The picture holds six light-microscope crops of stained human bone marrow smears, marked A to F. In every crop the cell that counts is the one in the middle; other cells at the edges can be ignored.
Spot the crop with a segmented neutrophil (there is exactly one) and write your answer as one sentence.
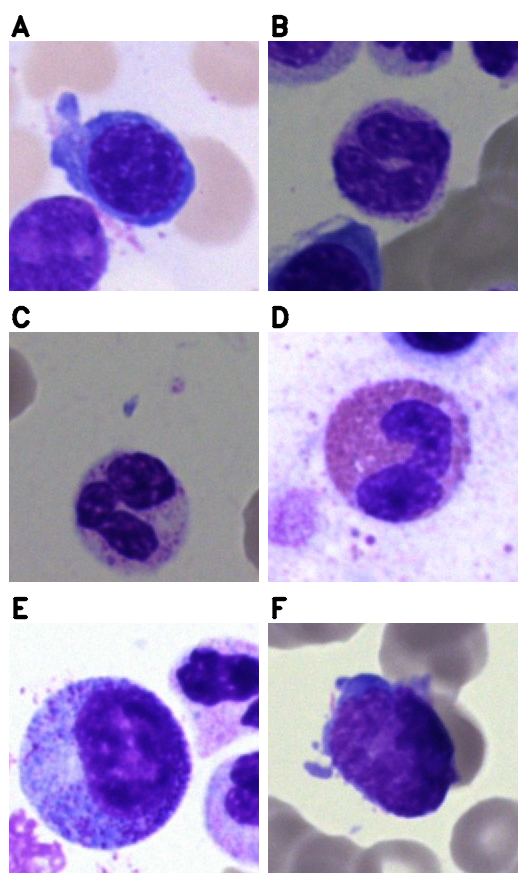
Among these crops, crop C holds a segmented neutrophil.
